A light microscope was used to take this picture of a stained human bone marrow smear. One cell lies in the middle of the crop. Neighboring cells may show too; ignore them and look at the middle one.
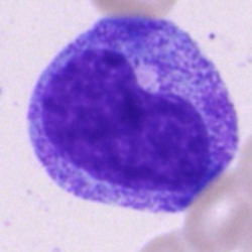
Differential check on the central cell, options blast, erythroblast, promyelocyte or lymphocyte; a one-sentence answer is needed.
This crop has a promyelocyte at its centre.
